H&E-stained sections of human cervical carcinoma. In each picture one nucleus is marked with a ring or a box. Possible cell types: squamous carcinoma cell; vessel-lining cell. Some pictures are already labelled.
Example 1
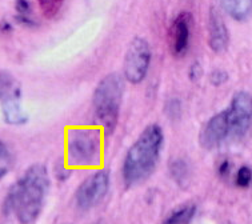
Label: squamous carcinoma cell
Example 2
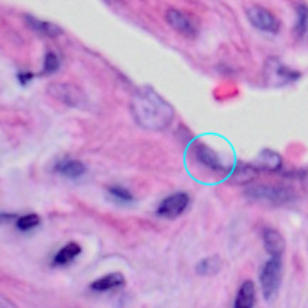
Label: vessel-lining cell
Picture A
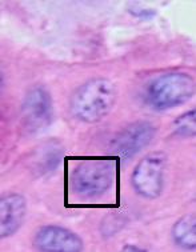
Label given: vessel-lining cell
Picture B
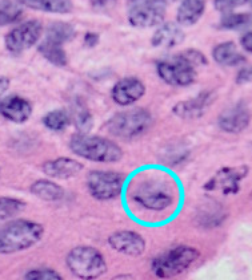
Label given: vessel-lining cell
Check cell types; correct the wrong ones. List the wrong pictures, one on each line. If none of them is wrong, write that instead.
Wrong: A (vessel-lining cell); correct: squamous carcinoma cell
Wrong: B (vessel-lining cell); correct: squamous carcinoma cell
